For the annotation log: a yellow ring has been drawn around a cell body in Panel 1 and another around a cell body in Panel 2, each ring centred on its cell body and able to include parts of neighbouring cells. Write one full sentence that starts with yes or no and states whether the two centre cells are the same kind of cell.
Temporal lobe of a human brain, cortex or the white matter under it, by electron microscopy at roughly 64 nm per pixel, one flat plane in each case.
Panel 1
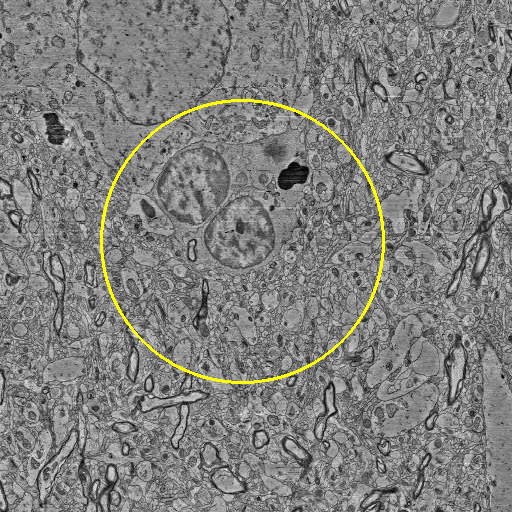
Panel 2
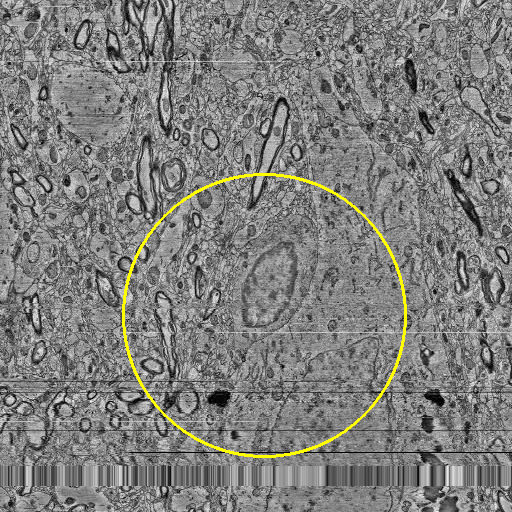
Yes, the two centre cells are the same kind of cell.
